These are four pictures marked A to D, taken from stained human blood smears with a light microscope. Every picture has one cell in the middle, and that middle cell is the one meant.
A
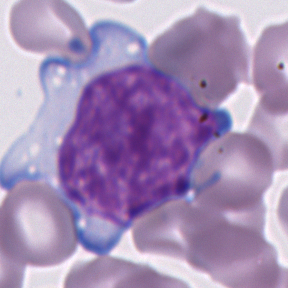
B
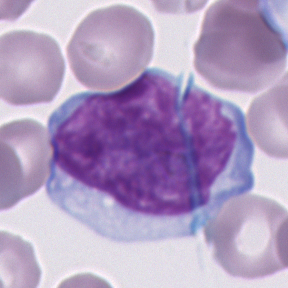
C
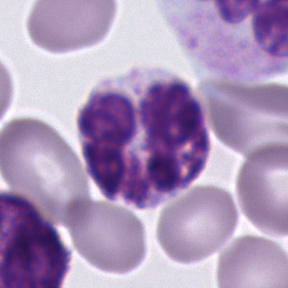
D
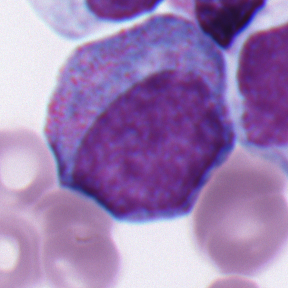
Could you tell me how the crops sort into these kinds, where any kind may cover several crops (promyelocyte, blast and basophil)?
A: blast
B: blast
C: basophil
D: promyelocyte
